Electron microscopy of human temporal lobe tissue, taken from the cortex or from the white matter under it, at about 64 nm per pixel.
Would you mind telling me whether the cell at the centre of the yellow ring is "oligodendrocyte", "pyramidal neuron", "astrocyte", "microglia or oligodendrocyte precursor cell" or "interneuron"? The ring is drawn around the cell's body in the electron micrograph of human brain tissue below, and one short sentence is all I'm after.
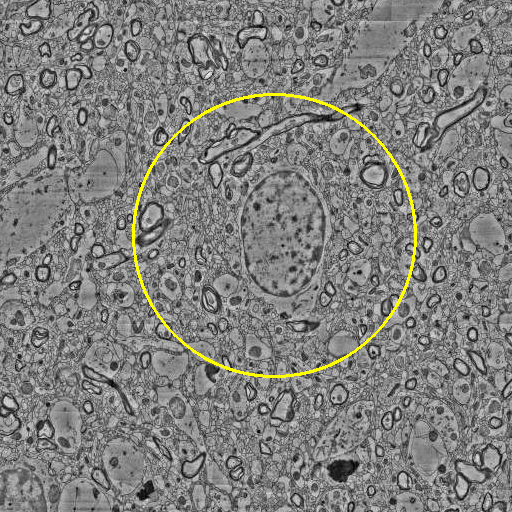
In the centre of the ring lies a microglial cell or oligodendrocyte precursor cell.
